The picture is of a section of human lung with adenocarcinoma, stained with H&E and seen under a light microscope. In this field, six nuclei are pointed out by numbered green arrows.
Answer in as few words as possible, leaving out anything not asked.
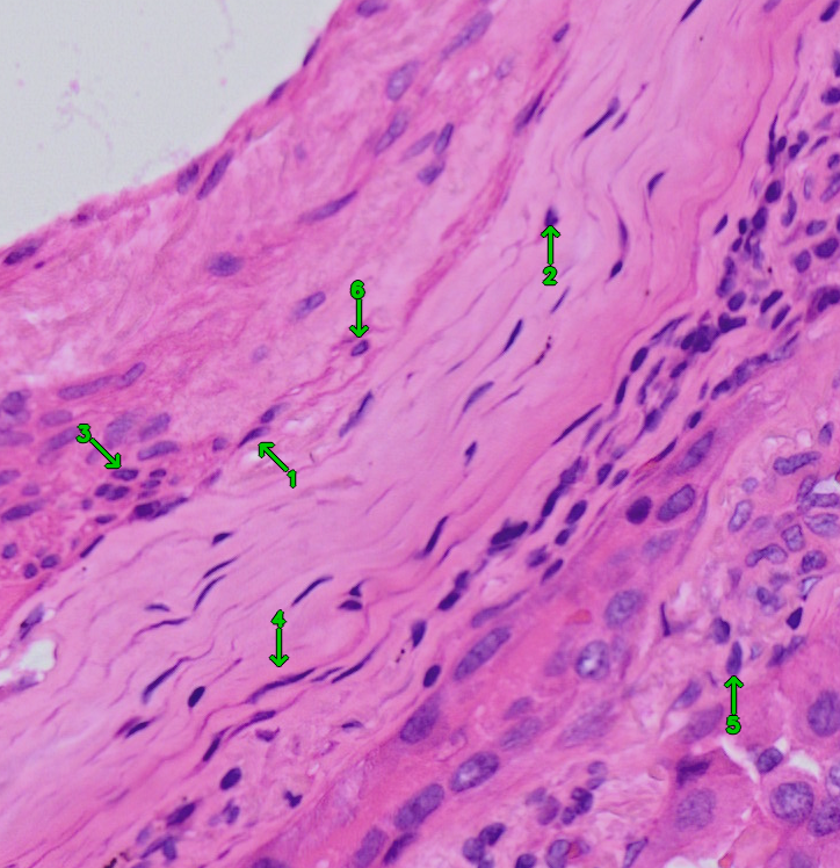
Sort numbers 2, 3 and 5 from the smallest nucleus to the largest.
2, 3, 5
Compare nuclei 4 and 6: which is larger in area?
4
